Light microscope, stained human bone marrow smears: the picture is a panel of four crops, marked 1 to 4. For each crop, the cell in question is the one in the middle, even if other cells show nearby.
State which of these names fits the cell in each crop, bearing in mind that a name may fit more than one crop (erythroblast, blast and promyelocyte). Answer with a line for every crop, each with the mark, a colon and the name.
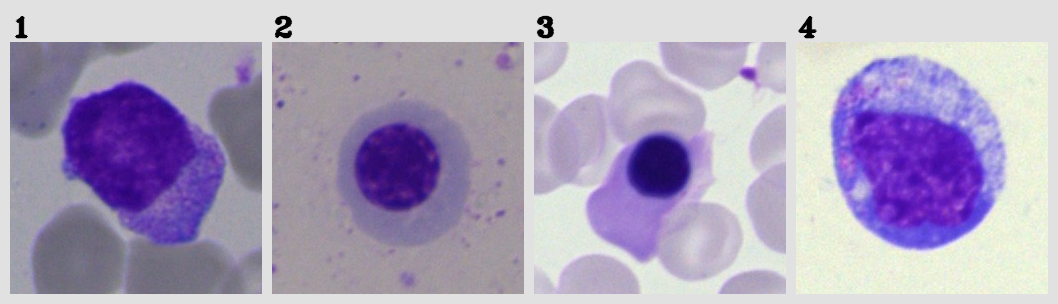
1: blast
2: erythroblast
3: erythroblast
4: promyelocyte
